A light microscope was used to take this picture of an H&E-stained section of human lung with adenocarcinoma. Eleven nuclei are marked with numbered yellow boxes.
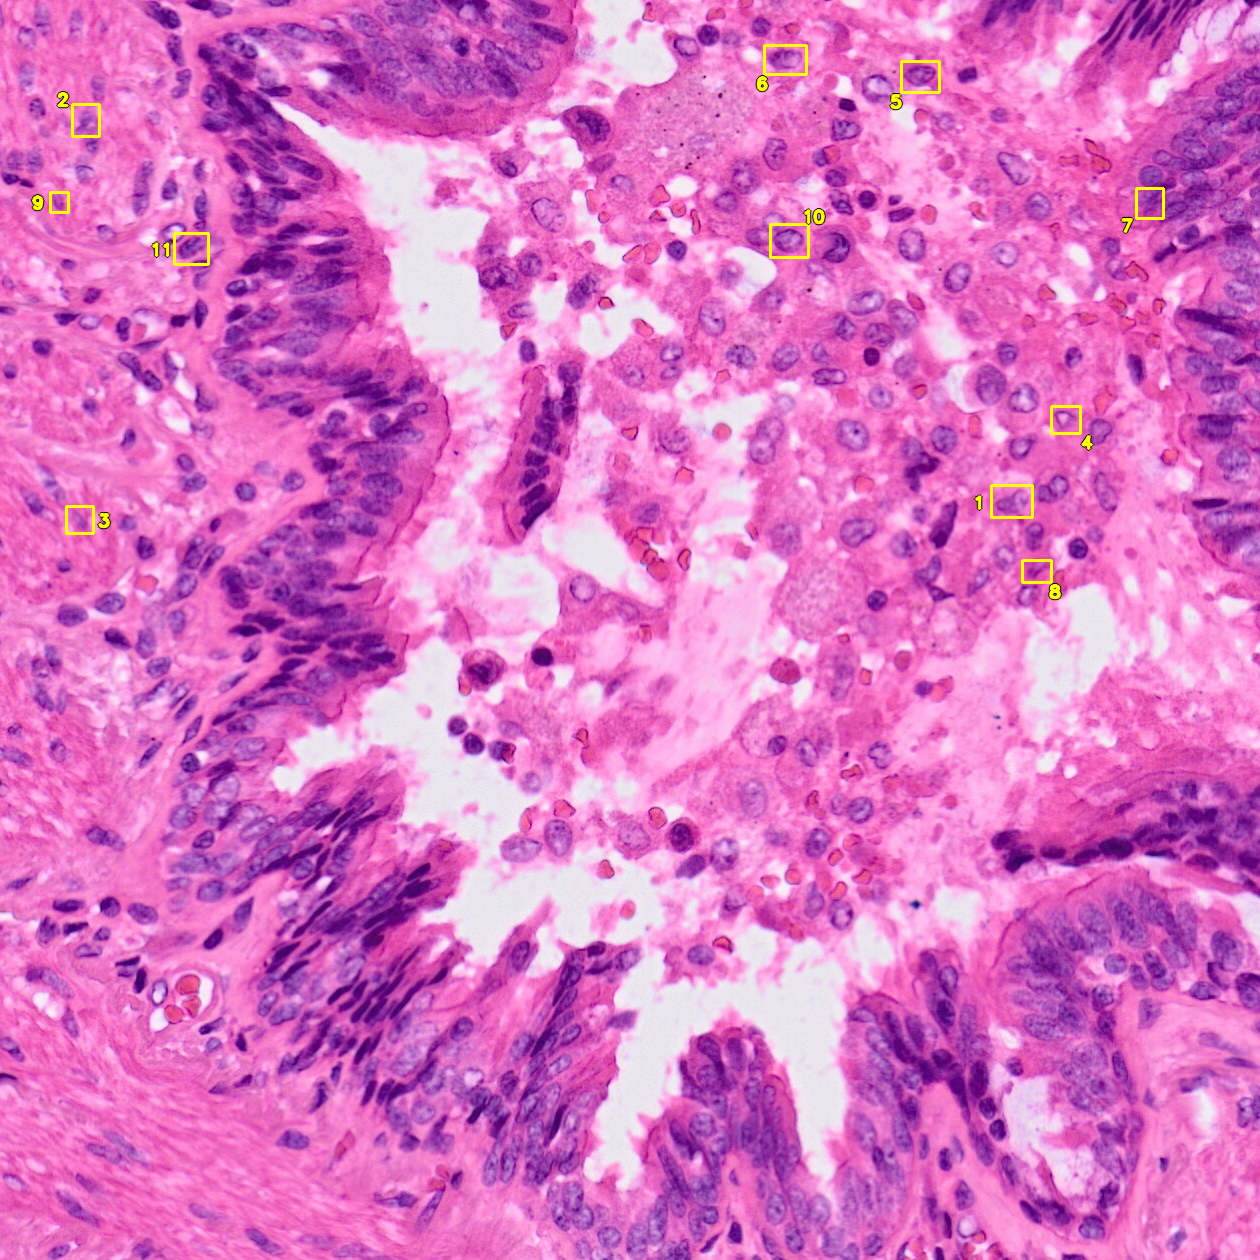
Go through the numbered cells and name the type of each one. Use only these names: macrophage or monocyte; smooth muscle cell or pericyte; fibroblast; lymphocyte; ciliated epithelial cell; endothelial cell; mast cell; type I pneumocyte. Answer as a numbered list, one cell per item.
1. macrophage or monocyte
2. smooth muscle cell or pericyte
3. smooth muscle cell or pericyte
4. macrophage or monocyte
5. macrophage or monocyte
6. macrophage or monocyte
7. ciliated epithelial cell
8. macrophage or monocyte
9. smooth muscle cell or pericyte
10. macrophage or monocyte
11. mast cell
